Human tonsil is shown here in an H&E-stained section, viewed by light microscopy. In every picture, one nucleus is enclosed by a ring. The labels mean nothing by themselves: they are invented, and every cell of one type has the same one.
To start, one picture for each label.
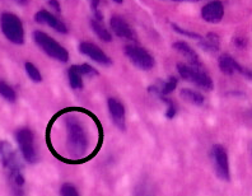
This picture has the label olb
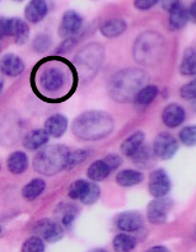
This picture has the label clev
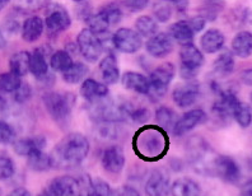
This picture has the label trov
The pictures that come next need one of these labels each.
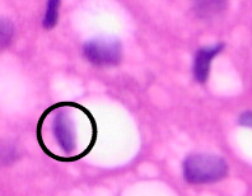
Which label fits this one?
olb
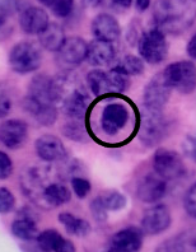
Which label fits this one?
trov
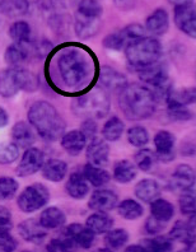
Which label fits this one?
trov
